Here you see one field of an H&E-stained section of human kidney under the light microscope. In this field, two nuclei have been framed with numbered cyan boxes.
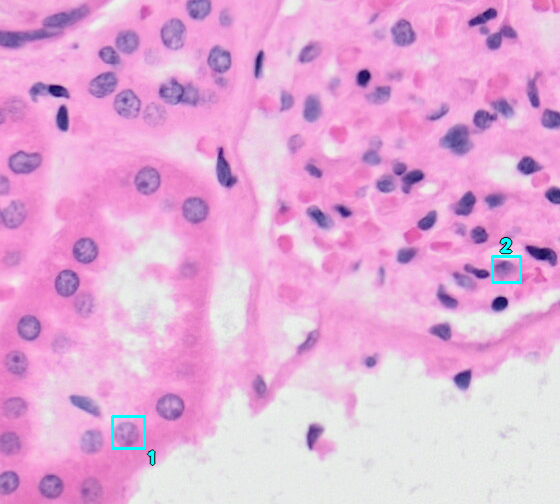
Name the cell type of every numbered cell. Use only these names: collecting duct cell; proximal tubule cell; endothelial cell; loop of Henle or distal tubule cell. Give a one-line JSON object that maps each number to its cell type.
{"1": "proximal tubule cell", "2": "endothelial cell"}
